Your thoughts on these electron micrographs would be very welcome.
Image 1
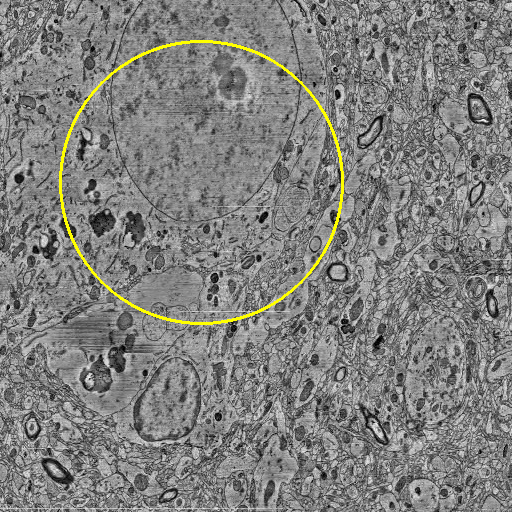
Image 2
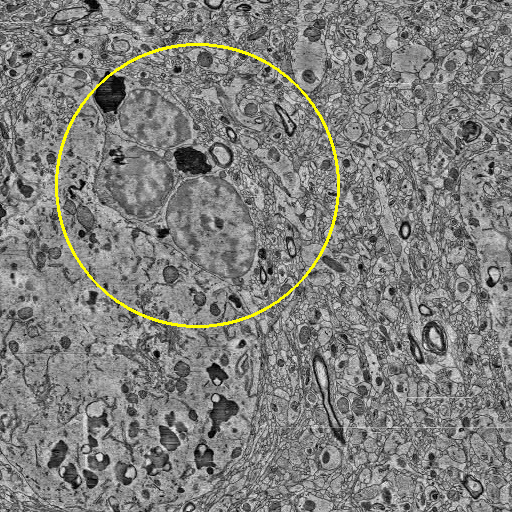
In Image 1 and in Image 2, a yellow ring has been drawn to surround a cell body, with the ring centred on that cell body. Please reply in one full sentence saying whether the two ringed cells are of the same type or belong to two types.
The ringed cells in Image 1 and Image 2 belong to two types.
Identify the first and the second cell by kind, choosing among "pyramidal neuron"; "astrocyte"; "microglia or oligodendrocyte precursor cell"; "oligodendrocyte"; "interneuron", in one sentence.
The one in the first picture is a pyramidal neuron, while the one in the second is an oligodendrocyte.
